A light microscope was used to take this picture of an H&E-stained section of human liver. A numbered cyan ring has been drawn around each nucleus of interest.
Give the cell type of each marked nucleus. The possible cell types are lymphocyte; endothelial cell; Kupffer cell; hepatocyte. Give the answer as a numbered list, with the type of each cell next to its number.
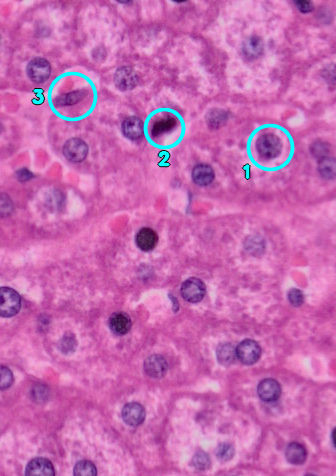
1. hepatocyte
2. Kupffer cell
3. Kupffer cell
